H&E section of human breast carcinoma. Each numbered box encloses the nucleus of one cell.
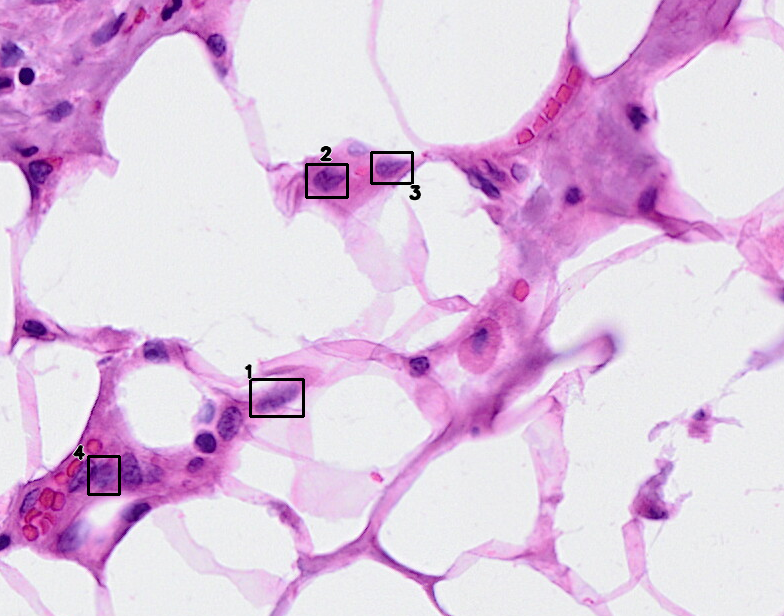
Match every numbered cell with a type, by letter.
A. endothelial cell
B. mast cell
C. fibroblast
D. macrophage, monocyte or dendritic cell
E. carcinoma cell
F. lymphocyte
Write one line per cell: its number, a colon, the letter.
1: C
2: A
3: A
4: A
